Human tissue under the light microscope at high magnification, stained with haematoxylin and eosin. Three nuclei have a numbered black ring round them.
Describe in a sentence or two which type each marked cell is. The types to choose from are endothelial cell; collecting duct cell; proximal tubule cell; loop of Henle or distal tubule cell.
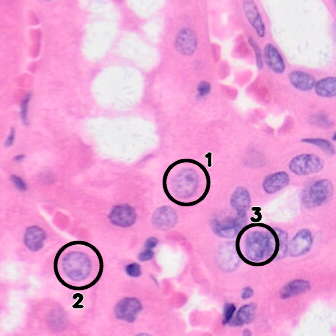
Cell 1 is a proximal tubule cell, cell 2 is a proximal tubule cell and cell 3 is a collecting duct cell.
